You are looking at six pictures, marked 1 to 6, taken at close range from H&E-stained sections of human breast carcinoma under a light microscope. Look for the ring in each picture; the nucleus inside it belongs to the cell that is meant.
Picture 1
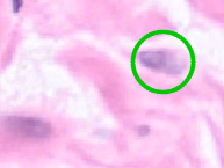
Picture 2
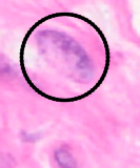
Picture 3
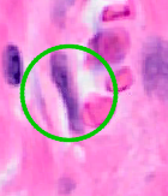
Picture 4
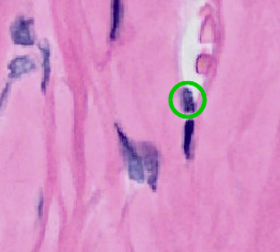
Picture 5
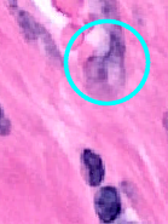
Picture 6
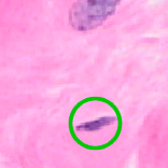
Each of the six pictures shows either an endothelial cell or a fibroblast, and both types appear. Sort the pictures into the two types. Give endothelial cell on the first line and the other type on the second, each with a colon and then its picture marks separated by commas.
endothelial cell: 3, 4, 5
fibroblast: 1, 2, 6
